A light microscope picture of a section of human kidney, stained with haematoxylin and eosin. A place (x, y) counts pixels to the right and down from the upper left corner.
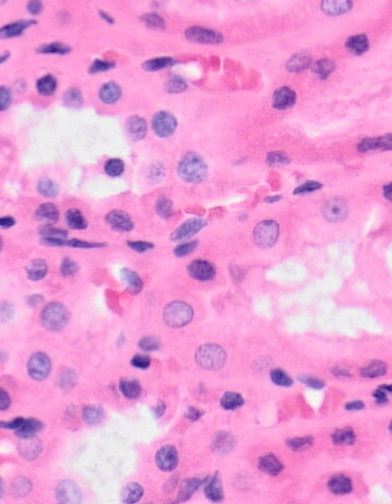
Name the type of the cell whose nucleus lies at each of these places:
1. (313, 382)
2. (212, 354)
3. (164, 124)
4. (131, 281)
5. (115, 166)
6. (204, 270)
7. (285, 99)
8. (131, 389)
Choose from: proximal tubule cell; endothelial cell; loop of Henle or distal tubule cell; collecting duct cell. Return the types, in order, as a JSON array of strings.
["endothelial cell", "proximal tubule cell", "loop of Henle or distal tubule cell", "endothelial cell", "loop of Henle or distal tubule cell", "proximal tubule cell", "proximal tubule cell", "loop of Henle or distal tubule cell"]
